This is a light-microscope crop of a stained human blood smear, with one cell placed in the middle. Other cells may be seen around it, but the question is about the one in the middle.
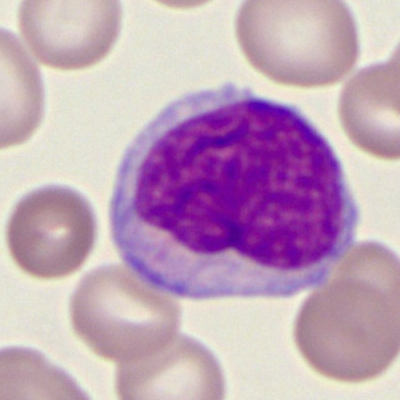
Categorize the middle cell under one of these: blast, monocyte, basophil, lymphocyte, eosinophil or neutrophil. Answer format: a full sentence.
In the center of this field lies a blast.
